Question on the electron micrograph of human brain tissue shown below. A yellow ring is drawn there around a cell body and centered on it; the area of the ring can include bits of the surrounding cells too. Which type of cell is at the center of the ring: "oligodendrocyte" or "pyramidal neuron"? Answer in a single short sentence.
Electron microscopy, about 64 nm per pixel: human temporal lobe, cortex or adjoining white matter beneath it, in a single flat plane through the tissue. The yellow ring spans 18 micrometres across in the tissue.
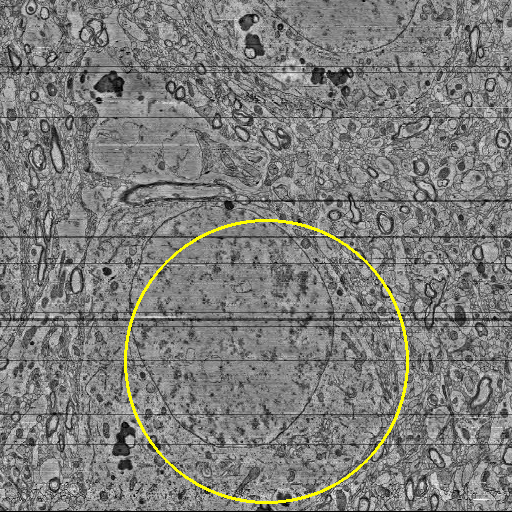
The ring is centered on a pyramidal neuron.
